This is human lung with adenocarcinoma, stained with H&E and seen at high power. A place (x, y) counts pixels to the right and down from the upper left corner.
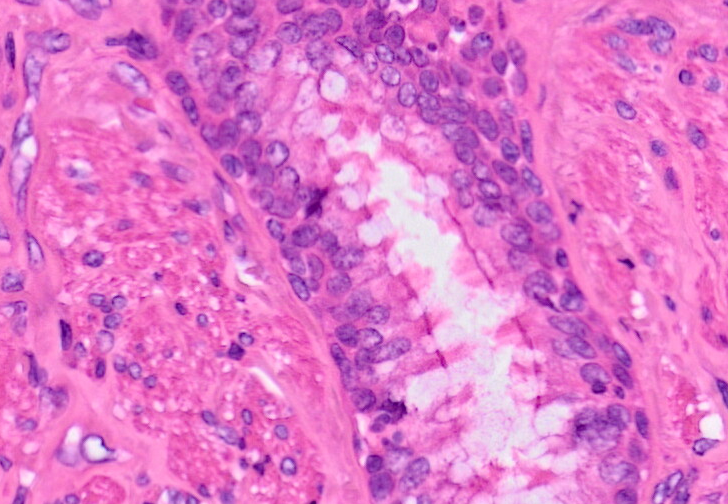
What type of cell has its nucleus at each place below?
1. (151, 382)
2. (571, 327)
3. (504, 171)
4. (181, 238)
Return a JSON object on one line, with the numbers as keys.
{"1": "smooth muscle cell or pericyte", "2": "ciliated epithelial cell", "3": "ciliated epithelial cell", "4": "smooth muscle cell or pericyte"}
